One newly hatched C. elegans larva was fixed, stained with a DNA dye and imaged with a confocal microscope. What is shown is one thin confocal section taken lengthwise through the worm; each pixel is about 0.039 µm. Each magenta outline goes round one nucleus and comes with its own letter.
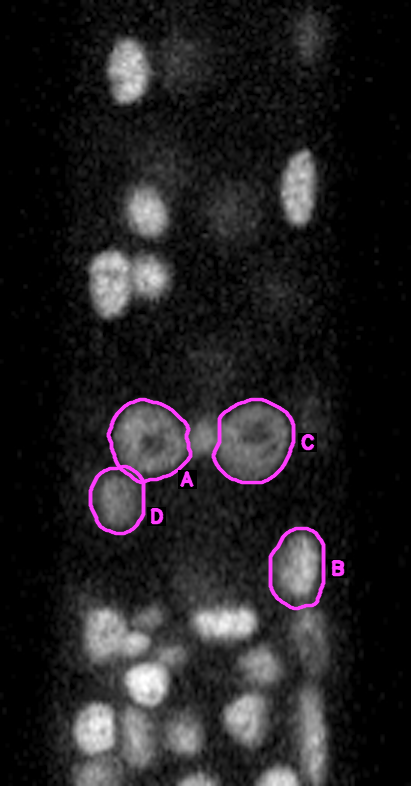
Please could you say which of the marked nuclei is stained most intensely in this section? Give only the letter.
B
